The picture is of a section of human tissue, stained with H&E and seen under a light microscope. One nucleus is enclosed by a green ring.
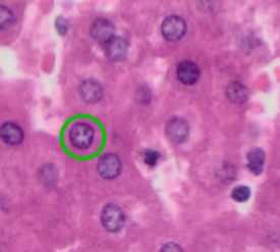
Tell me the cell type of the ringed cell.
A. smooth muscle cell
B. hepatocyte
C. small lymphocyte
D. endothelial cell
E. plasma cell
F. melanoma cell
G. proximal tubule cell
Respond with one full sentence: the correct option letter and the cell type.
In this case the ringed cell is a hepatocyte, so option B is correct.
